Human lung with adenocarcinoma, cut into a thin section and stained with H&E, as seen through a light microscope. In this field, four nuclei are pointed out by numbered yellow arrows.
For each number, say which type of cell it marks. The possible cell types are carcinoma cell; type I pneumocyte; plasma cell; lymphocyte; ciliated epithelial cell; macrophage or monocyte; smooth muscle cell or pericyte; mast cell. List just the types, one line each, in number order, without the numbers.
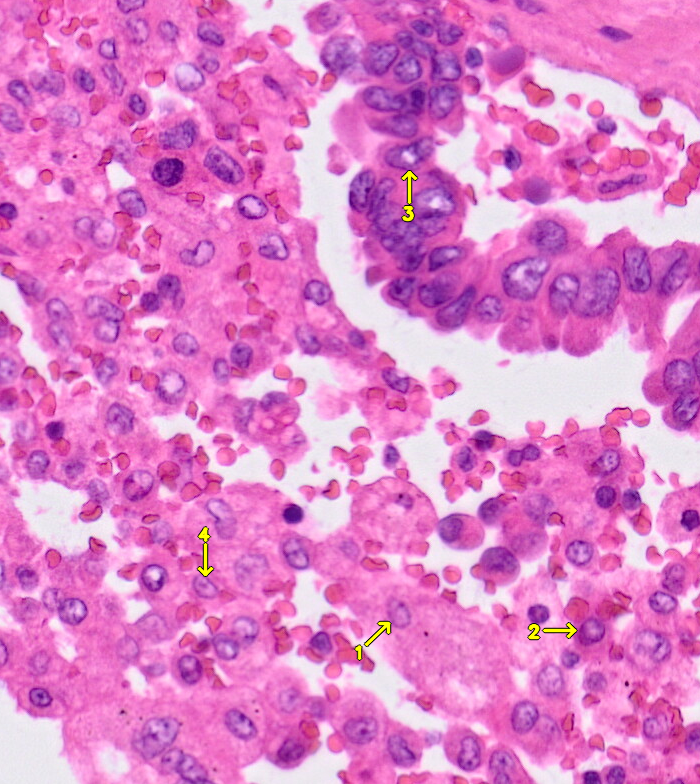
macrophage or monocyte
macrophage or monocyte
carcinoma cell
macrophage or monocyte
